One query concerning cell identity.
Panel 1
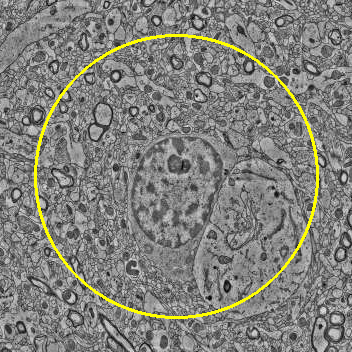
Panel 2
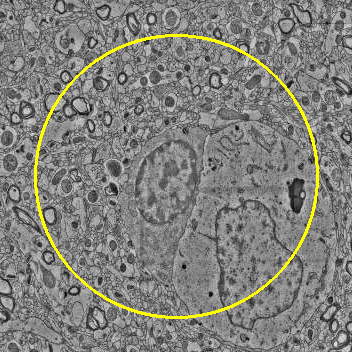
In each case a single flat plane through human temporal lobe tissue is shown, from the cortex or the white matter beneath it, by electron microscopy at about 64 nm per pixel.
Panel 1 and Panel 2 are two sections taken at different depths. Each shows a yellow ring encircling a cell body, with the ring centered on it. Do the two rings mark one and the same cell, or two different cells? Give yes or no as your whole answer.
yes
